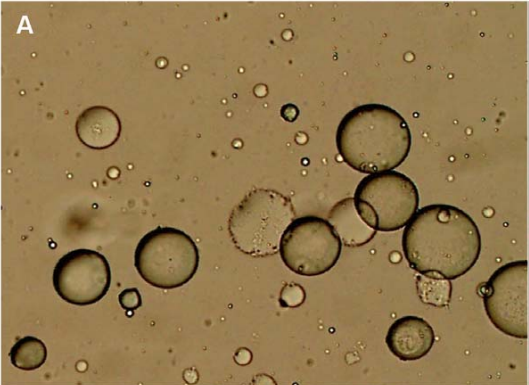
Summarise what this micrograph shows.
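Isolated mature adipocytes are seen as large, free-floating spheres of varying diameter, some clearly overlapping one another. A few cells appear collapsed or ragged, with wrinkled, irregular outlines and a granular surface. The background holds many much smaller round droplets and fine debris, and no tissue connects the cells.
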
